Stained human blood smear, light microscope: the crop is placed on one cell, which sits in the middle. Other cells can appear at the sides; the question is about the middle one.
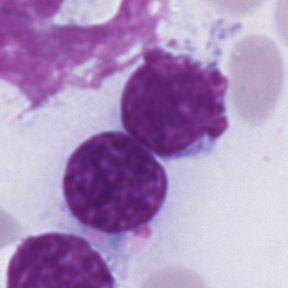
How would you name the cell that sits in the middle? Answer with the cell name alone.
myeloblast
